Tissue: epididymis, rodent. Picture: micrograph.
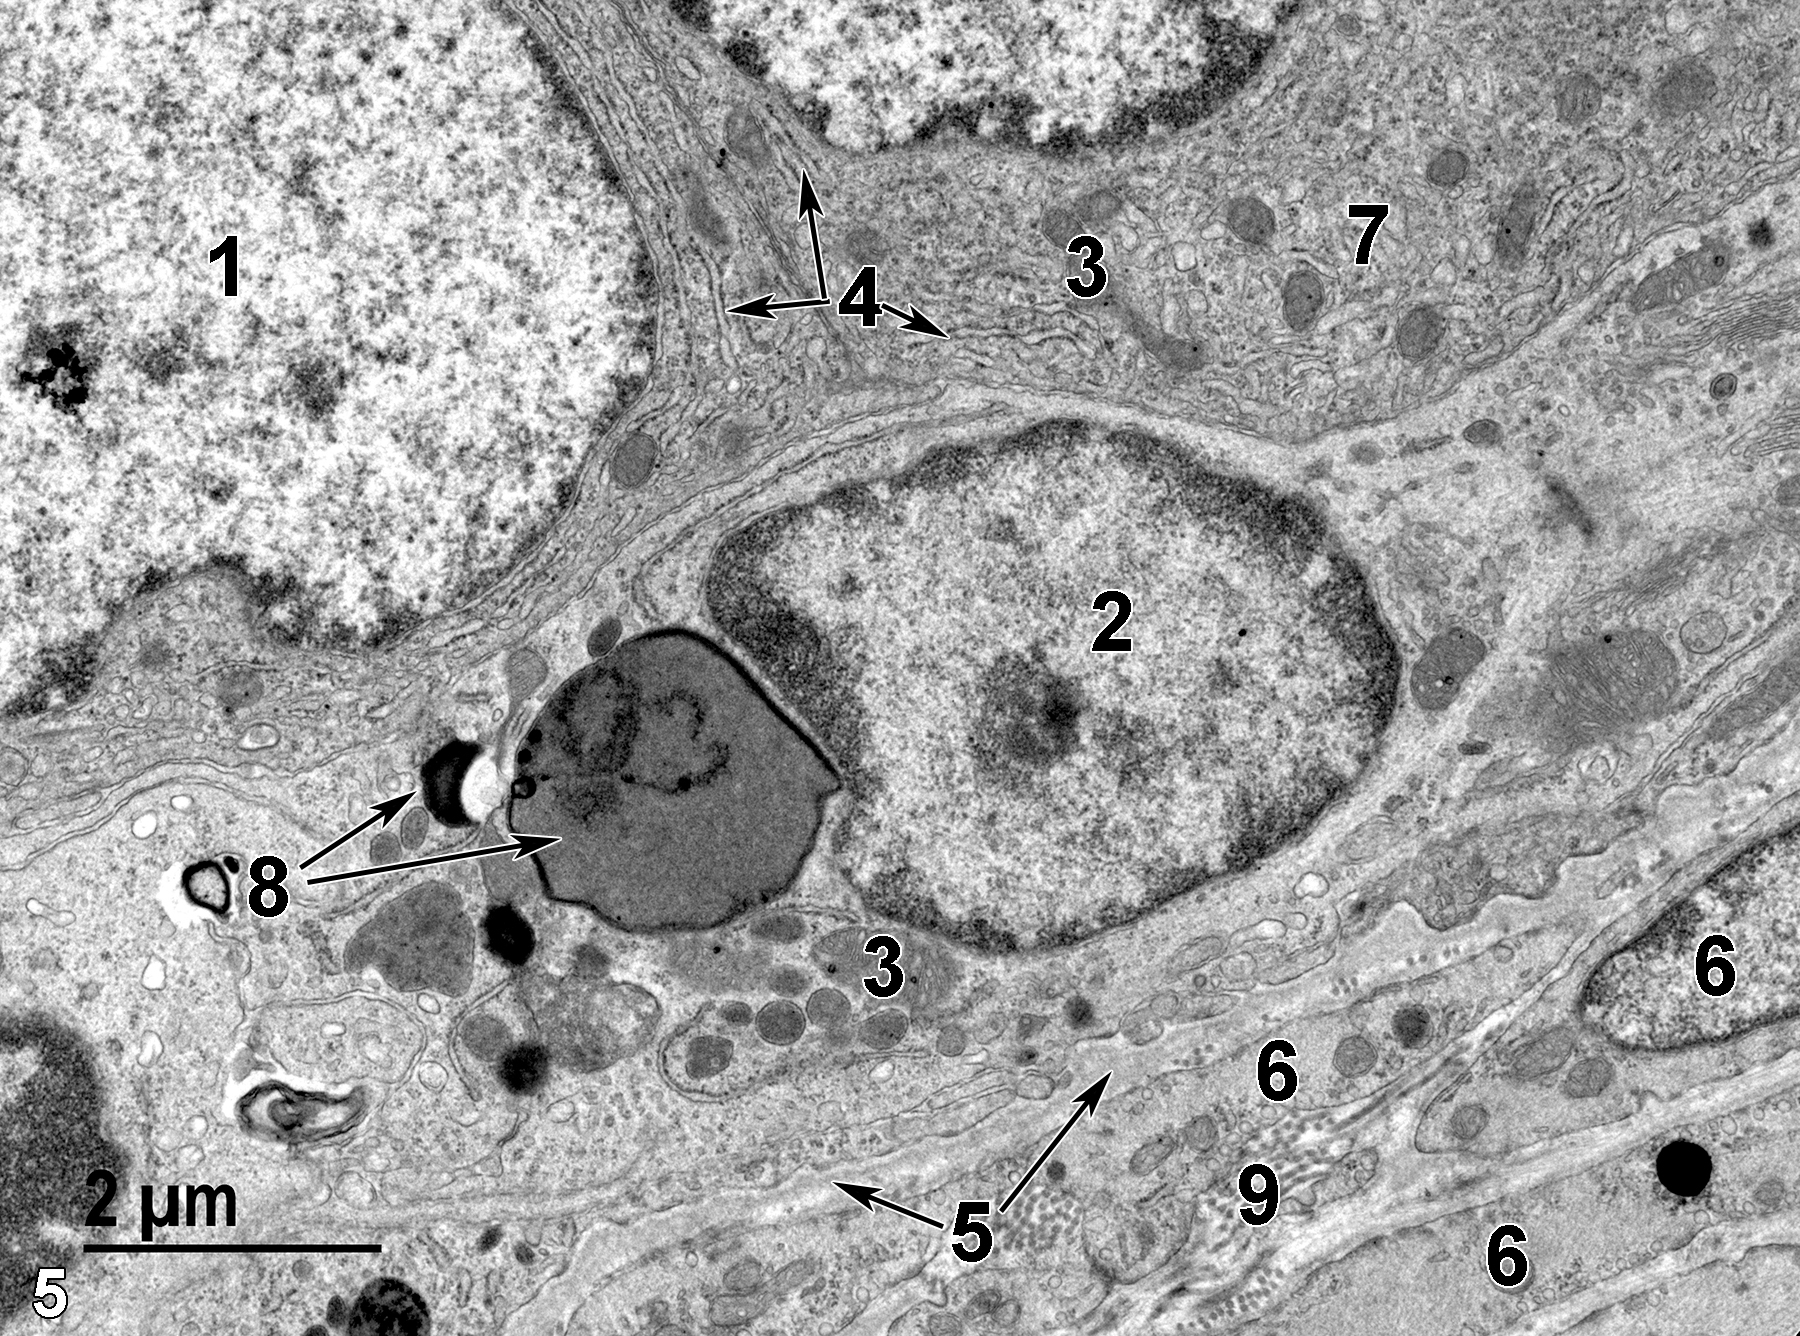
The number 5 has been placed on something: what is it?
At 5: basal lamina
